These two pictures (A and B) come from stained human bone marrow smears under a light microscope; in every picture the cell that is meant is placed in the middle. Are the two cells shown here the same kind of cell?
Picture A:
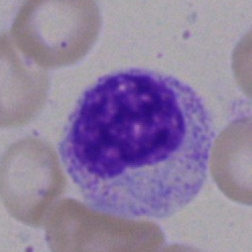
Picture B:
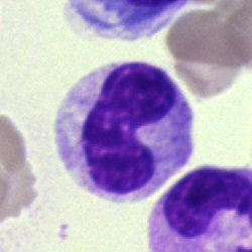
no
